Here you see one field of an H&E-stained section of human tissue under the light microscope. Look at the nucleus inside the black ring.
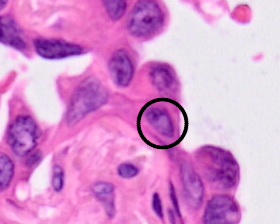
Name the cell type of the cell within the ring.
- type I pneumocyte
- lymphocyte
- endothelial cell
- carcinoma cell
carcinoma cell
